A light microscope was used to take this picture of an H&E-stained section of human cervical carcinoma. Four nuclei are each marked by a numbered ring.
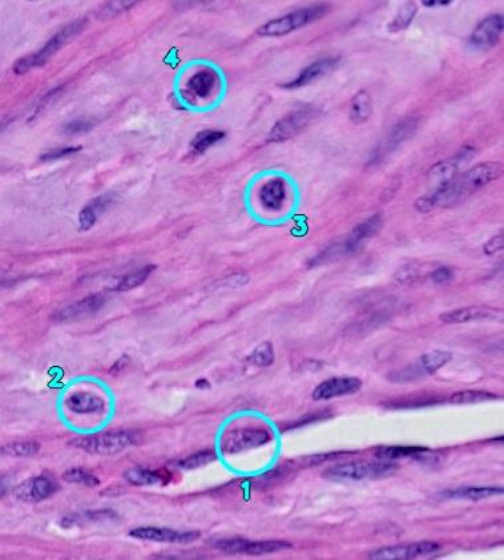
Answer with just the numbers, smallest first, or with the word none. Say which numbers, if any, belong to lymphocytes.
2, 3, 4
